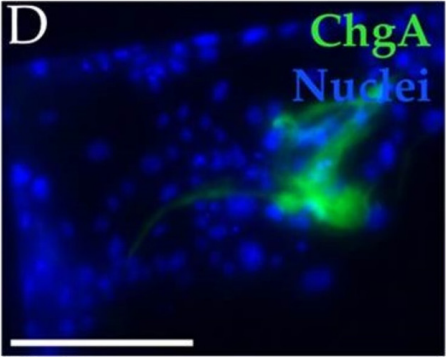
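Toward the right of centre a small cluster of bright green cell bodies stands out, with long thin green processes trailing away from it across the sheet. Apart from this cluster, the rest of the sheet shows only nuclei.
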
